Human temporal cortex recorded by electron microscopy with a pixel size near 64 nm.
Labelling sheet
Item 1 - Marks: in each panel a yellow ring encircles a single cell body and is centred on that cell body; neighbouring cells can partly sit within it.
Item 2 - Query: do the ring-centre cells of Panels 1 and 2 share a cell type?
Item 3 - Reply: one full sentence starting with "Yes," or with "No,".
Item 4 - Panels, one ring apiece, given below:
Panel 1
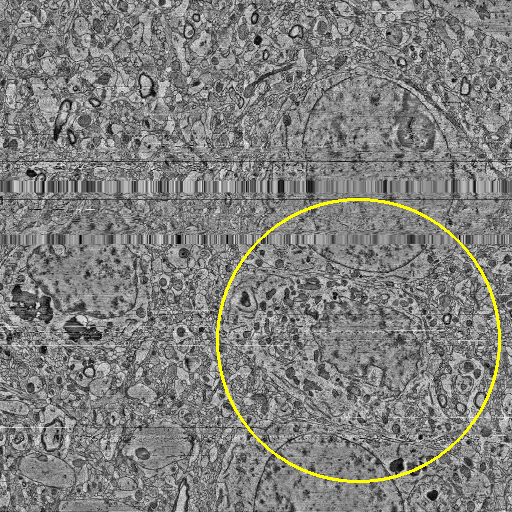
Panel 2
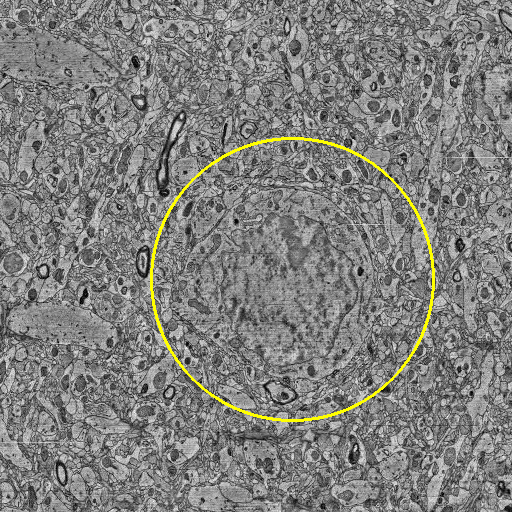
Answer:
Yes, Panel 1 and Panel 2 show one cell type at the centres of their rings.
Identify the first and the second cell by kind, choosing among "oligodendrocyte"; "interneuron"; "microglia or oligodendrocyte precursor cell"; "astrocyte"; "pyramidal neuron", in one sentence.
Each of the two cells is an interneuron.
